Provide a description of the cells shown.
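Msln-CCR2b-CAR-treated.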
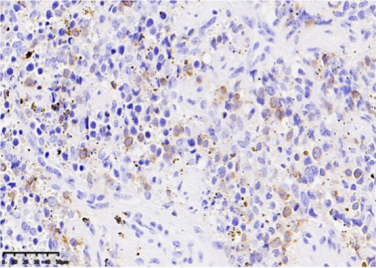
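This is a more loosely arranged section, with cells scattered in a pale, lightly stained background rather than packed in sheets. Some rounded cells have brown-stained cytoplasm around a blue nucleus, and these lie singly or in small groups among cells that show only blue nuclei. Some of the nuclei are elongated or oval. Dark brown to black granules are dotted through the field.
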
